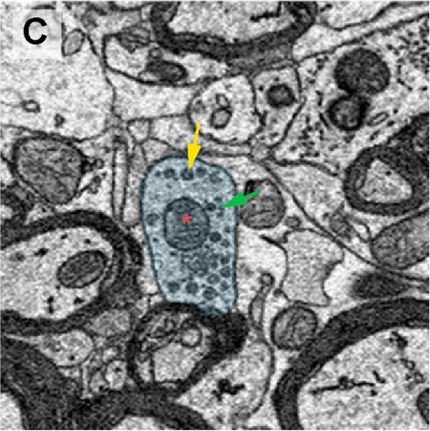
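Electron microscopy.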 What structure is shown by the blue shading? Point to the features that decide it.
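Varicosities. The blue-shaded profile is a swollen axonal bulge packed with vesicles and a mitochondrion. It is surrounded by myelinated axons and other neuropil profiles.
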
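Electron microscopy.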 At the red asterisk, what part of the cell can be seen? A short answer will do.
Mitochondria.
